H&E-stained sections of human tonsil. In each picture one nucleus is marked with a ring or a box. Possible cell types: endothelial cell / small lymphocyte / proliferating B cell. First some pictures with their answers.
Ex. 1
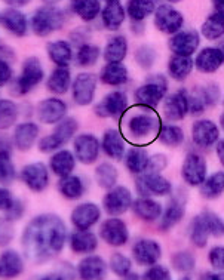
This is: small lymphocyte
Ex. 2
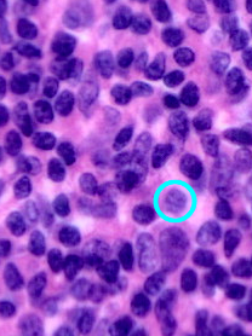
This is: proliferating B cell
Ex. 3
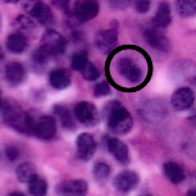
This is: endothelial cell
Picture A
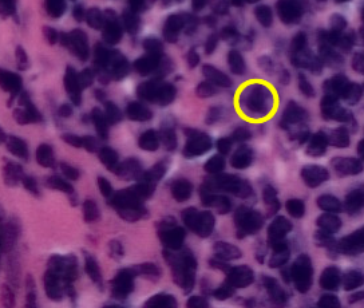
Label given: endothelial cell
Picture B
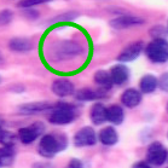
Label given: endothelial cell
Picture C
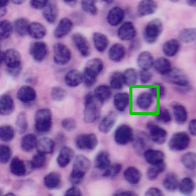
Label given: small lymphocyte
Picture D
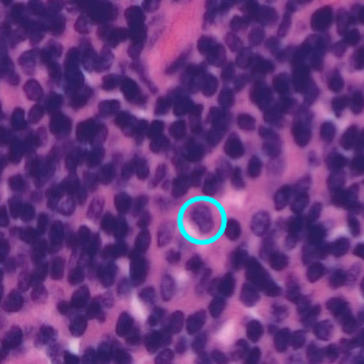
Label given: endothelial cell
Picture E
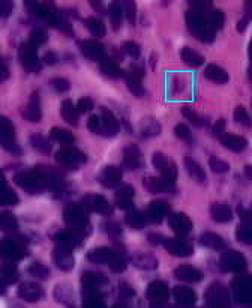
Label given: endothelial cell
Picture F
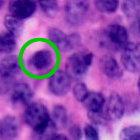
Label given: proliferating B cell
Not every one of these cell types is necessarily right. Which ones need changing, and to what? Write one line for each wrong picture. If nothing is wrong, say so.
All labels are correct.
